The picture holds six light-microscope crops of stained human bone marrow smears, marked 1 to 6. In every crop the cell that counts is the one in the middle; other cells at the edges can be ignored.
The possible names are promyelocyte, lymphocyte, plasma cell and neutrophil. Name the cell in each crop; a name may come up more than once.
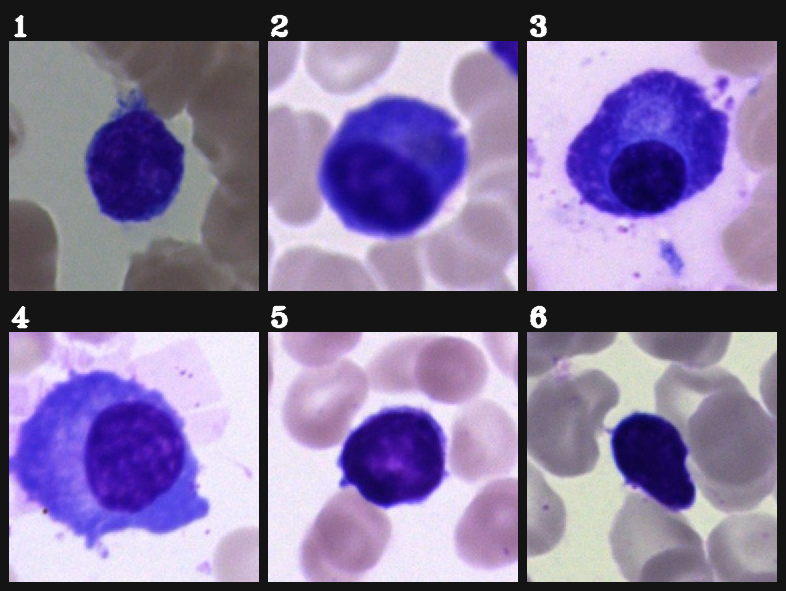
1: lymphocyte
2: plasma cell
3: plasma cell
4: plasma cell
5: lymphocyte
6: lymphocyte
